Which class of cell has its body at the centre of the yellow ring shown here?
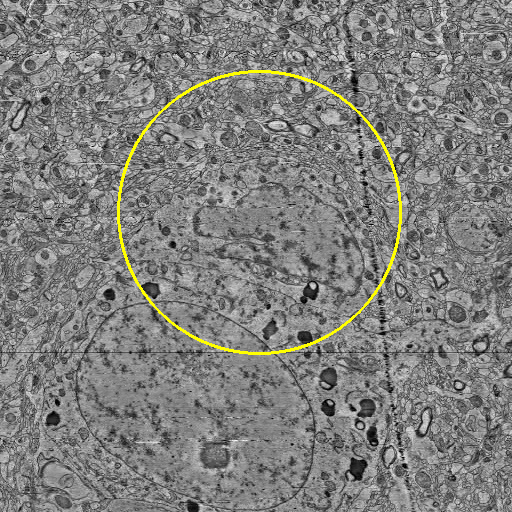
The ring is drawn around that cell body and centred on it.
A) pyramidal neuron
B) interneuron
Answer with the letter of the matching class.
B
